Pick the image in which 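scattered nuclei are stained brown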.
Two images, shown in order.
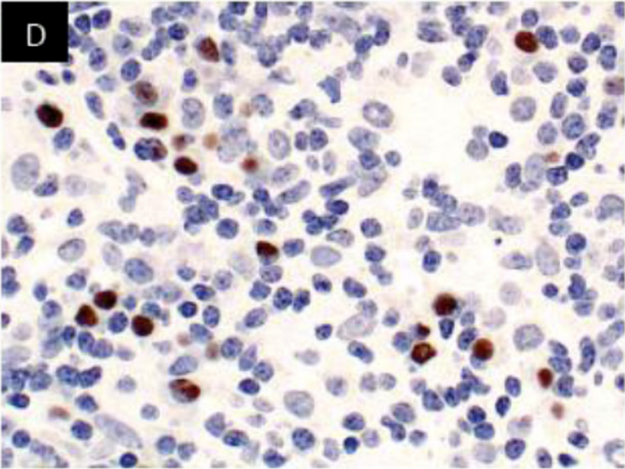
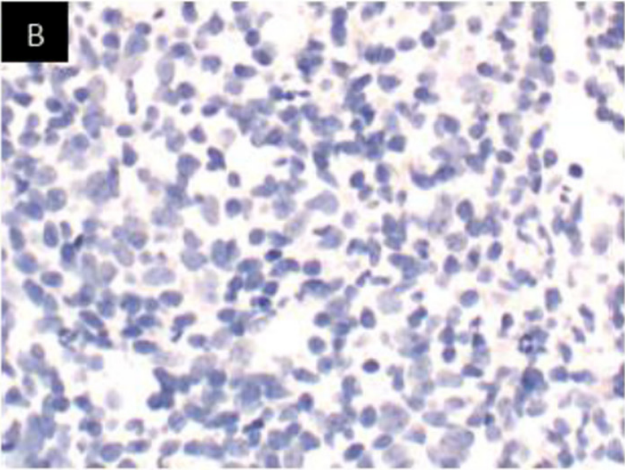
The first image.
